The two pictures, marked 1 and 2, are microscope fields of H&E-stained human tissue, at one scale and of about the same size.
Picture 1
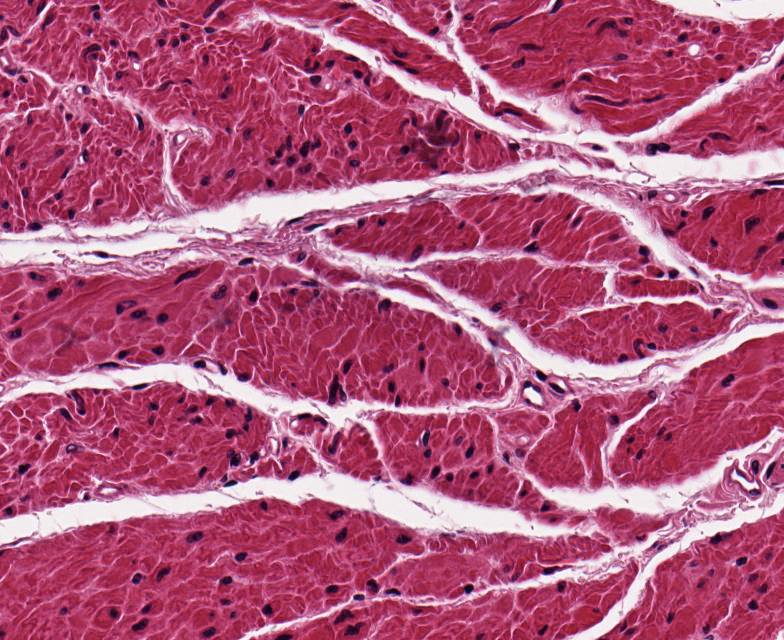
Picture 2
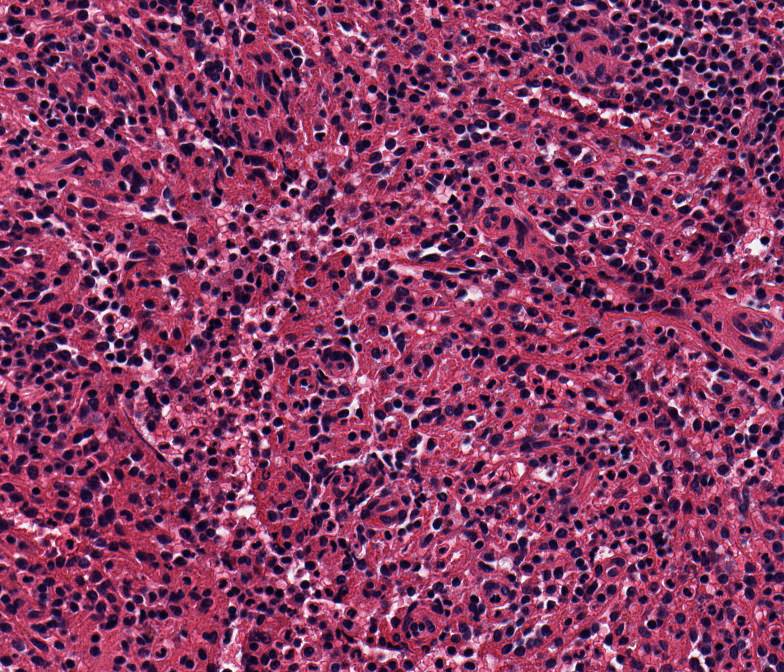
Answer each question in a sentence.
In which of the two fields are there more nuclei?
More nuclei lie in picture 2 than in picture 1.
